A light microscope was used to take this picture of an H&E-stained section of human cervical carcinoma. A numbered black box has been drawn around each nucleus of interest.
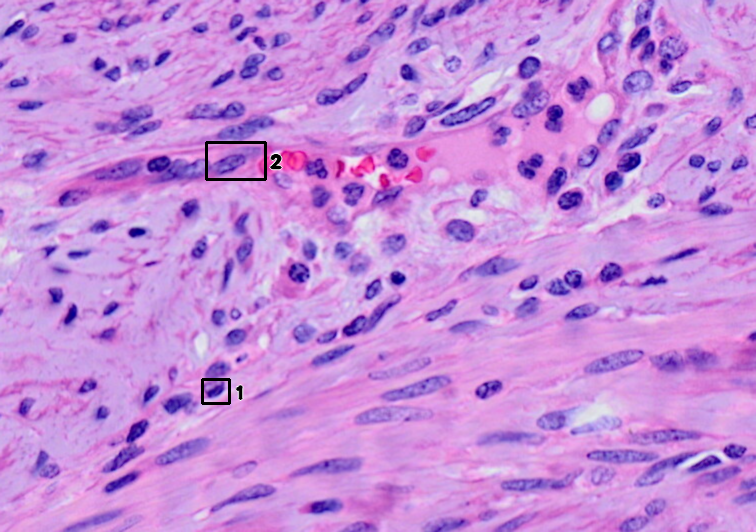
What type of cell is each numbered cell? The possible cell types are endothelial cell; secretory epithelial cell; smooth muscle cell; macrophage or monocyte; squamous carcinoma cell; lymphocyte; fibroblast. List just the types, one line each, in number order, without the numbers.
lymphocyte
endothelial cell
